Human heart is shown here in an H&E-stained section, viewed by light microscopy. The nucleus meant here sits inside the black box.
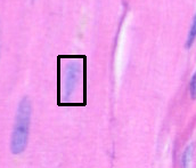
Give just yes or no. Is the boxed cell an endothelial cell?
no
